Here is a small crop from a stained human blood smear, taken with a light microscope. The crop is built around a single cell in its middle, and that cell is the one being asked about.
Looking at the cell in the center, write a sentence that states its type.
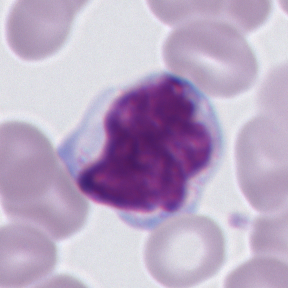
The target cell in the middle of the crop is a large granular lymphocyte.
